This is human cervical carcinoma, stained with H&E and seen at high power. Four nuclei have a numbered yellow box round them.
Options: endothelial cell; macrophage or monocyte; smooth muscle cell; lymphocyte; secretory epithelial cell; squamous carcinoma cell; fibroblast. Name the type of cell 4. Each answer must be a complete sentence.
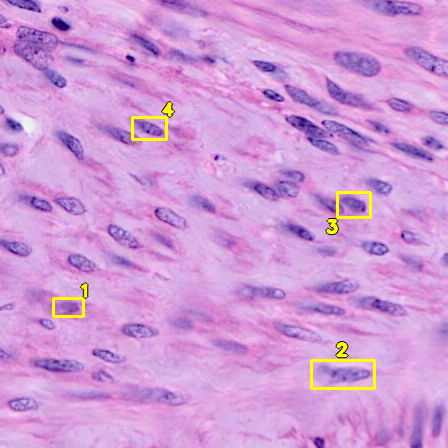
Cell 4 is classified as a smooth muscle cell.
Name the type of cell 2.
In this section, the cell numbered 2 is a fibroblast.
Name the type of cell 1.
It is as a smooth muscle cell that the cell numbered 1 is identified.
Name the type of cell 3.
Regarding cell 3, this one is a smooth muscle cell.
